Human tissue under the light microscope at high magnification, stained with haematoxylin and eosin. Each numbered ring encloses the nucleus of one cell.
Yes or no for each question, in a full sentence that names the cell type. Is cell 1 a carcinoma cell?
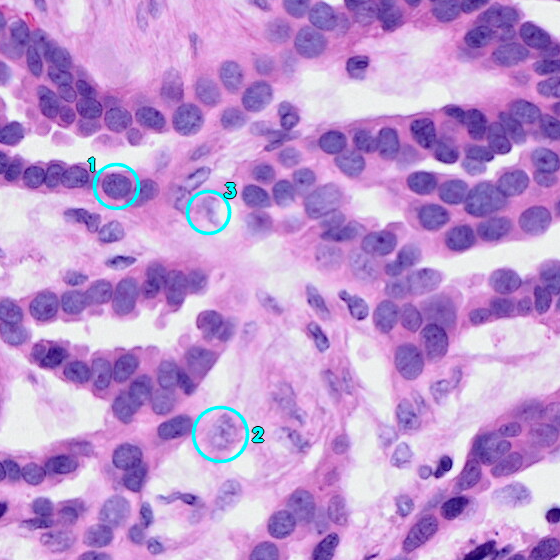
Yes, the cell referred to as number 1 is a carcinoma cell.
